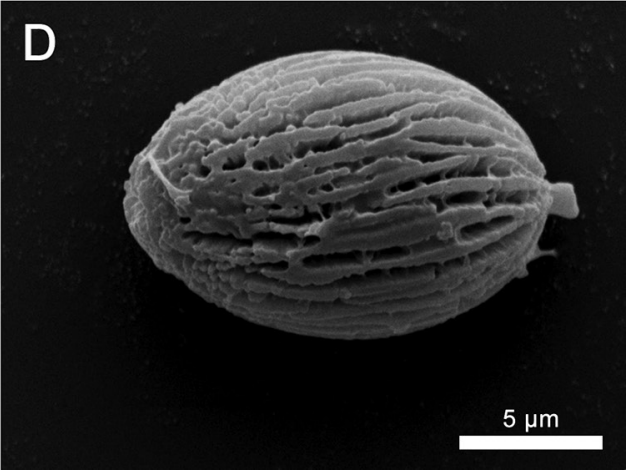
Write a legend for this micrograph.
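This is a single ellipsoid fungal basidiospore seen by scanning electron microscopy. Its surface bears thin longitudinal ridges, many of which are low, irregular and branch or fuse with one another, leaving elongate pits between them. A short stalk-like sterigmal attachment projects from one end of the spore.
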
